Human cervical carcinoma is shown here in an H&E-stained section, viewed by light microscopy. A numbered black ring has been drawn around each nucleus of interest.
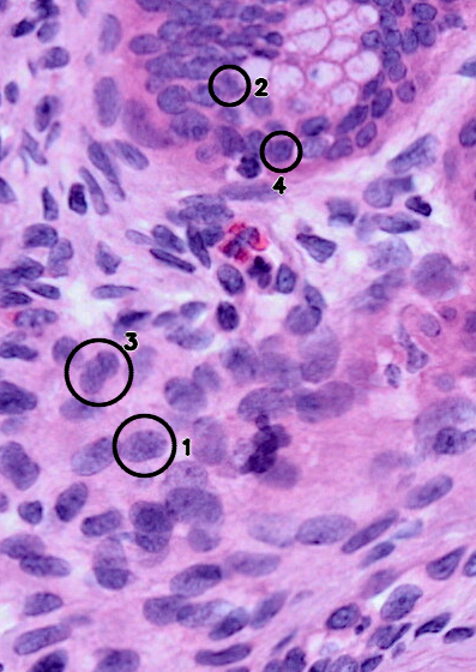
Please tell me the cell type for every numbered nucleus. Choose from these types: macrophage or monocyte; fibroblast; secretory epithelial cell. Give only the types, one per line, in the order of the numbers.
fibroblast
secretory epithelial cell
fibroblast
secretory epithelial cell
